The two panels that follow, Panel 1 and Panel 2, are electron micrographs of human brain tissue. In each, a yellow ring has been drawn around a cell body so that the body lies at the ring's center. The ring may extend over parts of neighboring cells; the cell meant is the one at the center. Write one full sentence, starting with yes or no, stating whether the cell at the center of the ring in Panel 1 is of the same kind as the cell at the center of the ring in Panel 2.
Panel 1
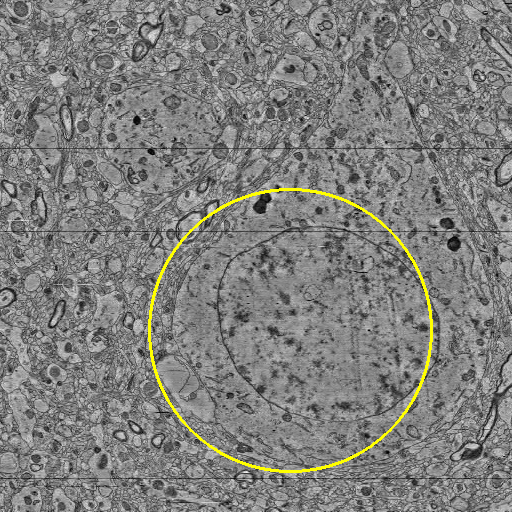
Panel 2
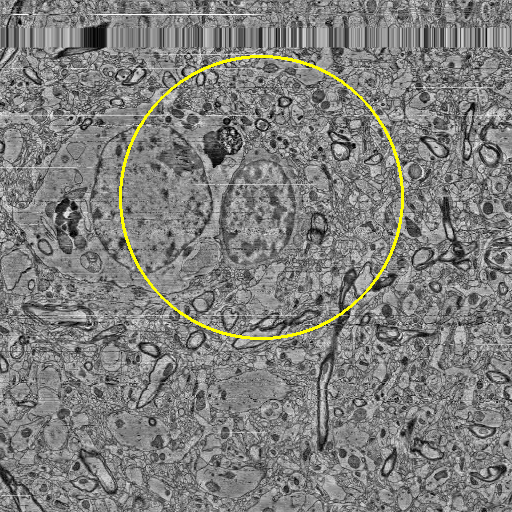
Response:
No, the cells in the two panels are of two kinds.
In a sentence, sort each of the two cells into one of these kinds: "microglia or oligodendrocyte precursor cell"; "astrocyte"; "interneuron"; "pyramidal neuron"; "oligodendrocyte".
The first of the two cells is a pyramidal neuron, and the second is an oligodendrocyte.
